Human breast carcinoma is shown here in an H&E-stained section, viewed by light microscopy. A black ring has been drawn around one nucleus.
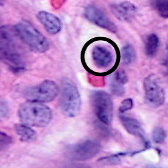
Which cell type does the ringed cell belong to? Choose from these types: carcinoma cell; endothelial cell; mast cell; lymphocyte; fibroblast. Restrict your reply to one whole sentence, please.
In the tissue at hand, the ringed cell is a mast cell.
